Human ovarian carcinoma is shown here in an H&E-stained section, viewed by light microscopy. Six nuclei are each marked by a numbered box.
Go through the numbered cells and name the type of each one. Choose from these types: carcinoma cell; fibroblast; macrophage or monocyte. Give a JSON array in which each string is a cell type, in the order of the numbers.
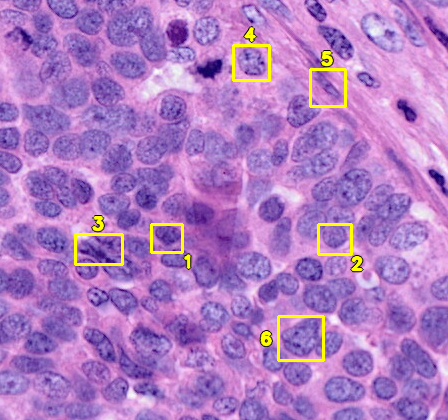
["carcinoma cell", "carcinoma cell", "carcinoma cell", "macrophage or monocyte", "fibroblast", "carcinoma cell"]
